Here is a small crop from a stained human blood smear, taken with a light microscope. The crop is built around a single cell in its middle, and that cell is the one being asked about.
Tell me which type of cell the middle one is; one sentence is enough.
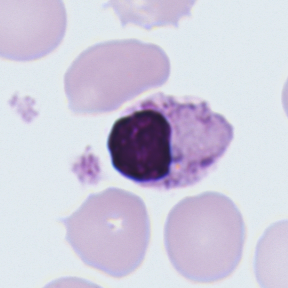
The crop centres on a single cell, and that cell is an erythroblast.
